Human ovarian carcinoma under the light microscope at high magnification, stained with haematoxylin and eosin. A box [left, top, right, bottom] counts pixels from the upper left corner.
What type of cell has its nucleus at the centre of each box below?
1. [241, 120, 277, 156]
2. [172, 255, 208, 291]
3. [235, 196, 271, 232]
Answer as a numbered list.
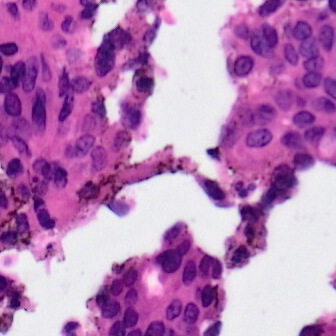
1. macrophage or monocyte
2. carcinoma cell
3. carcinoma cell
